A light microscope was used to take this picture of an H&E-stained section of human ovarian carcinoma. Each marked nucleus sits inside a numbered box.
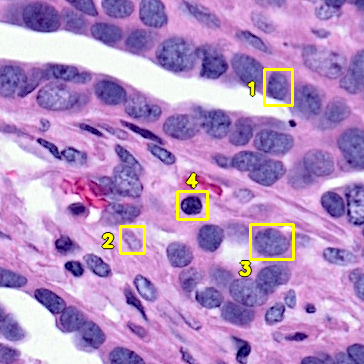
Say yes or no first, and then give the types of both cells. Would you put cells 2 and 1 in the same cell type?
No, the proper labels are a fibroblast for cell 2 and a carcinoma cell for cell 1.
